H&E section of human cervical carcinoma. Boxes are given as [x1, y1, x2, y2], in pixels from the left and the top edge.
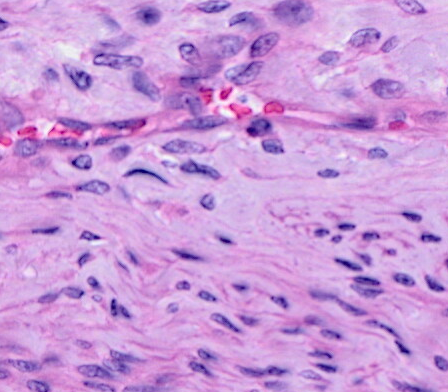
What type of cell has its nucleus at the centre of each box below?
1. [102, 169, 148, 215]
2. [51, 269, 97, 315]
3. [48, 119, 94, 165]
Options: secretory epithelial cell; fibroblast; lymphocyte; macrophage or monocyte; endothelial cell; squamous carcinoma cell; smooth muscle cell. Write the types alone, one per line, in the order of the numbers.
fibroblast
smooth muscle cell
endothelial cell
